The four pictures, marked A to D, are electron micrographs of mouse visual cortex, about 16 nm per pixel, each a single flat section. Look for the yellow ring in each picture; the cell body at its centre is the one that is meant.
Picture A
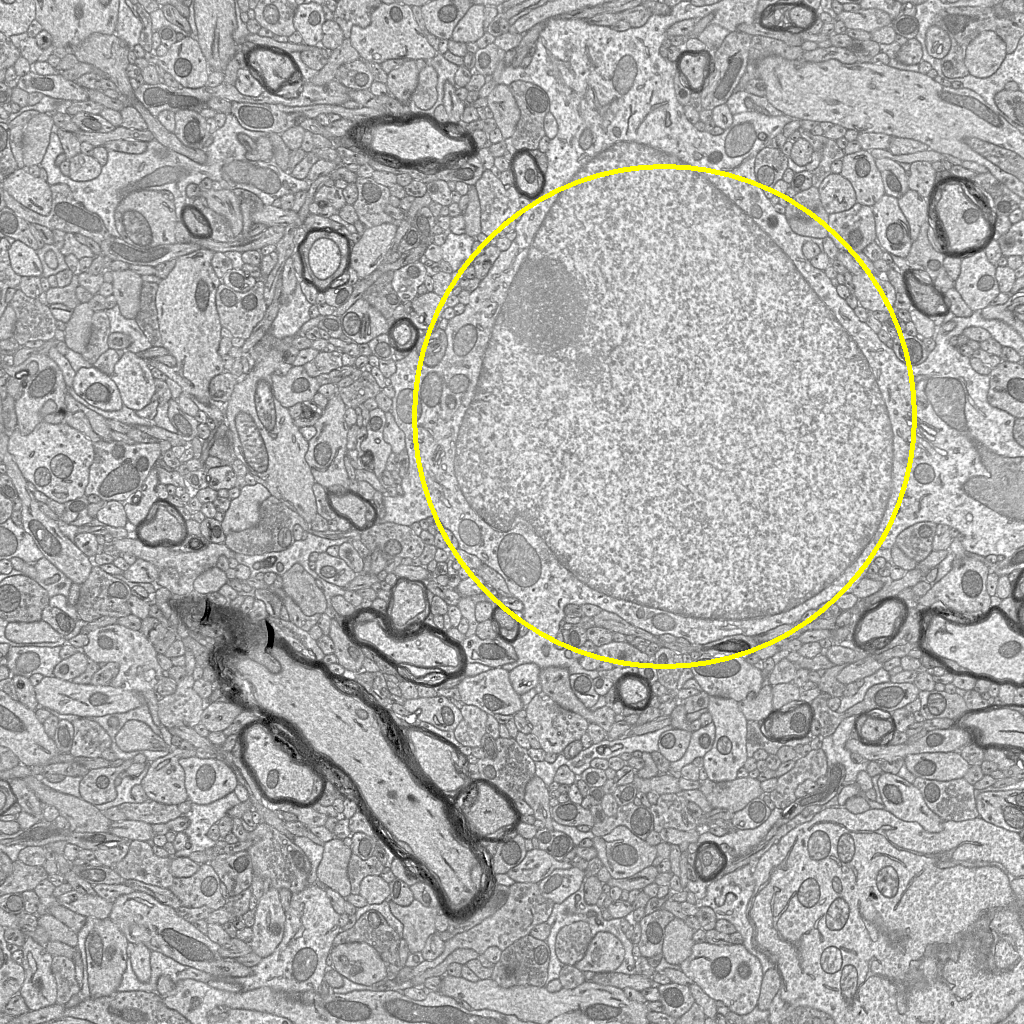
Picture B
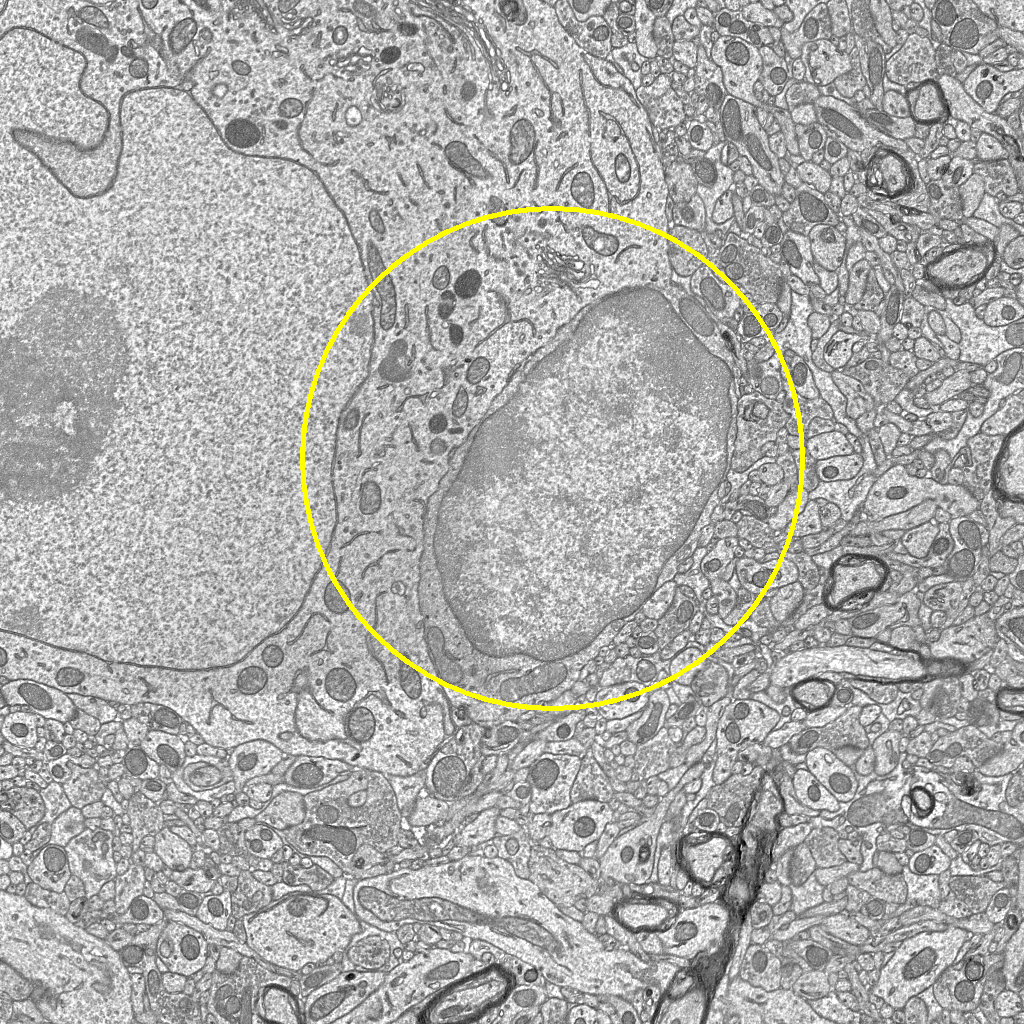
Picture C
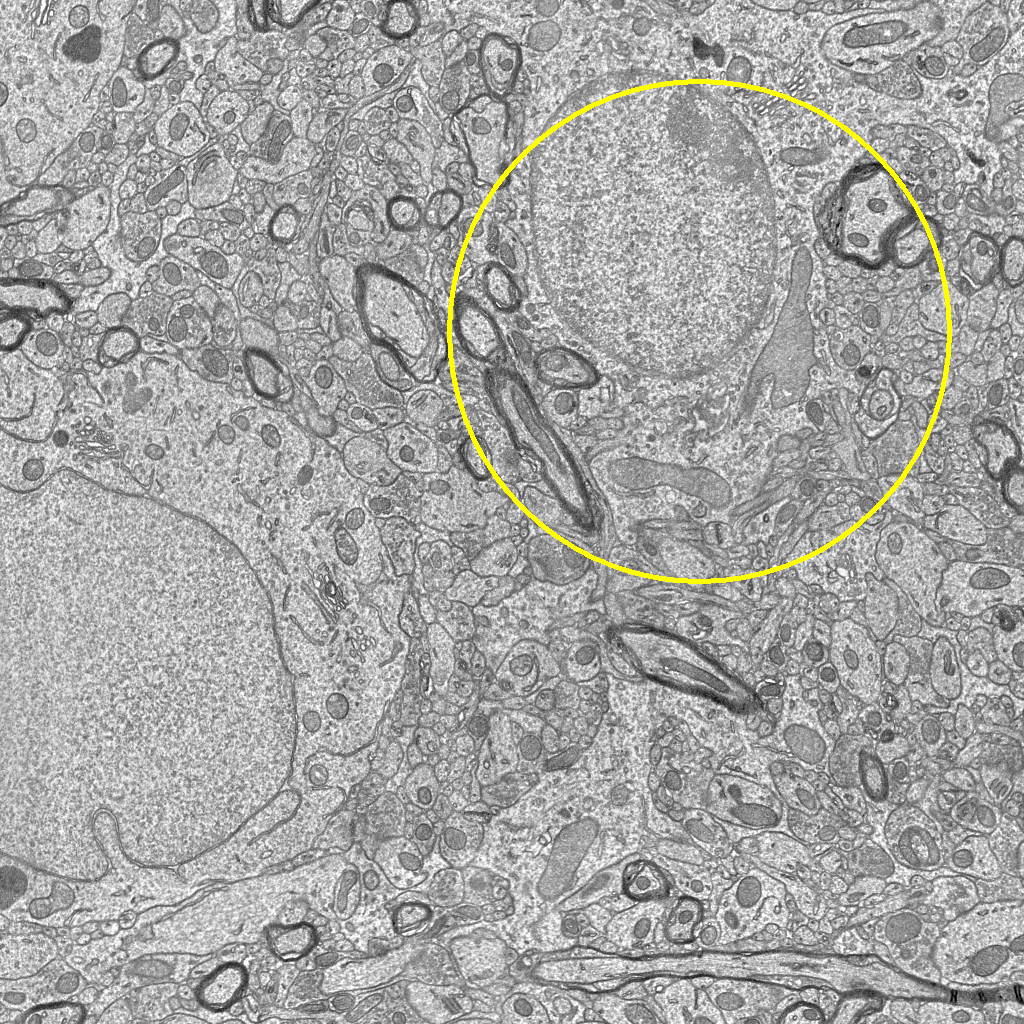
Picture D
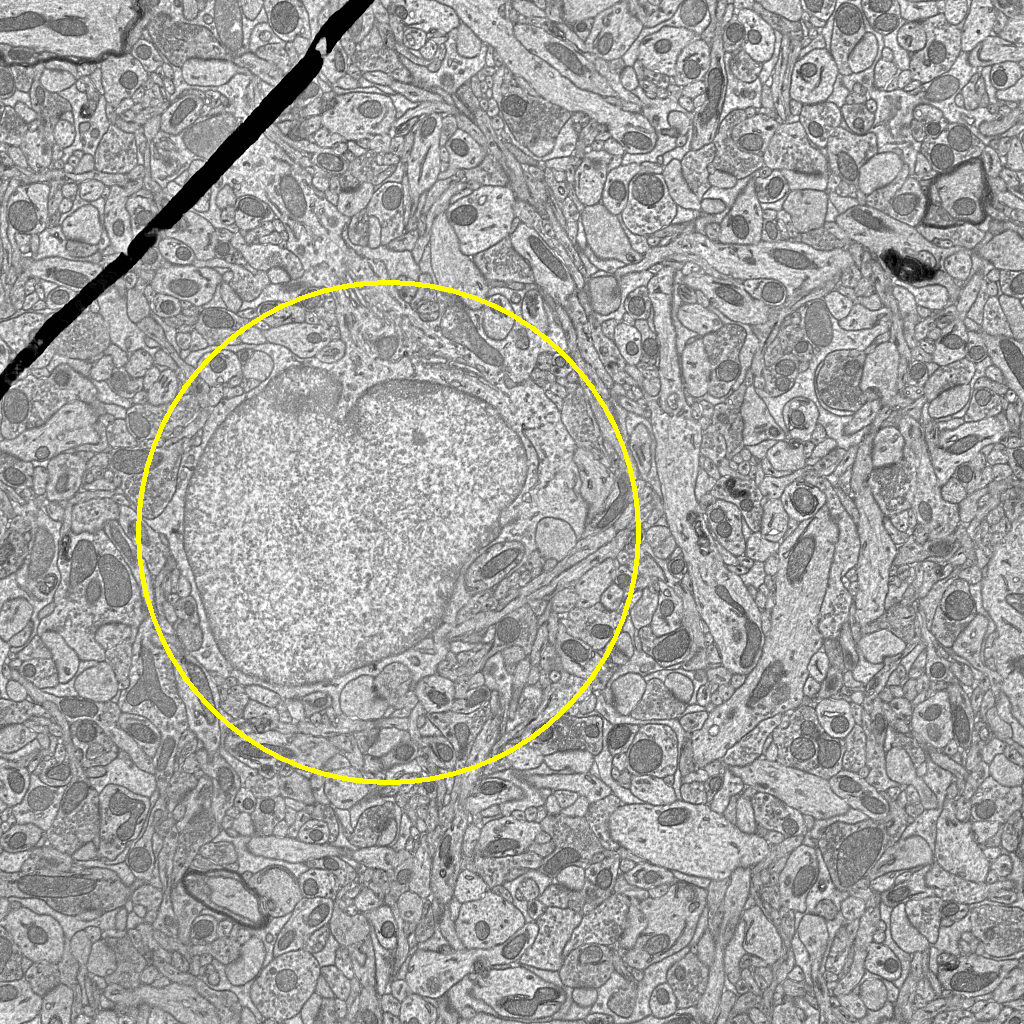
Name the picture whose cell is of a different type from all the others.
All pictures except B show astrocytes; picture B shows an oligodendrocyte.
